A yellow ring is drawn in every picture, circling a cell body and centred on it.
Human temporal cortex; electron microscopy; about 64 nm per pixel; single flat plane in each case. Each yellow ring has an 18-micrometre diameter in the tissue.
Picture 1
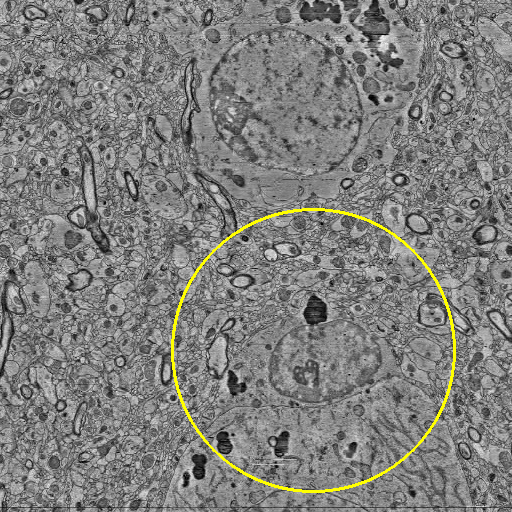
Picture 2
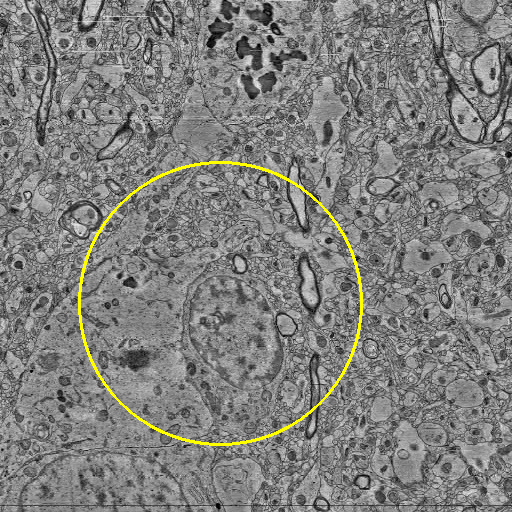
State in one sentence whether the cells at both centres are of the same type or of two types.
The cells at the two ring centres, one per picture, are of the same type.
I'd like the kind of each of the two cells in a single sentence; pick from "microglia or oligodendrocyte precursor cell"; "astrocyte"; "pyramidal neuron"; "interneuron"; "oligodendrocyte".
In both pictures the ring is centred on an oligodendrocyte.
